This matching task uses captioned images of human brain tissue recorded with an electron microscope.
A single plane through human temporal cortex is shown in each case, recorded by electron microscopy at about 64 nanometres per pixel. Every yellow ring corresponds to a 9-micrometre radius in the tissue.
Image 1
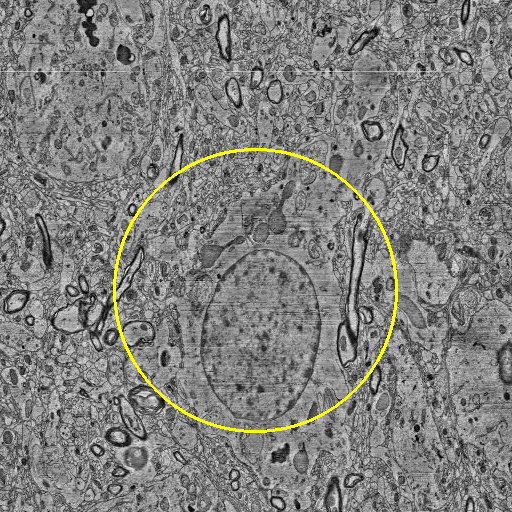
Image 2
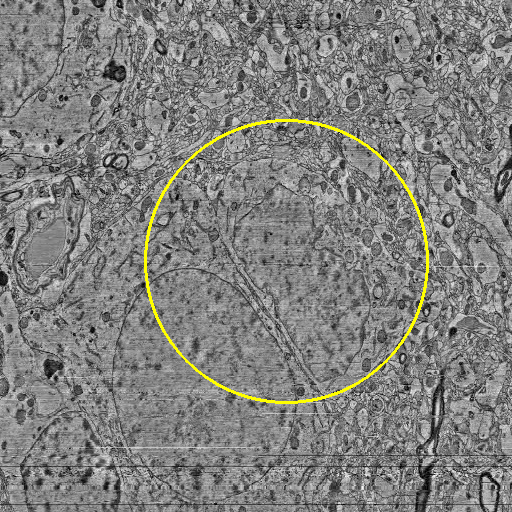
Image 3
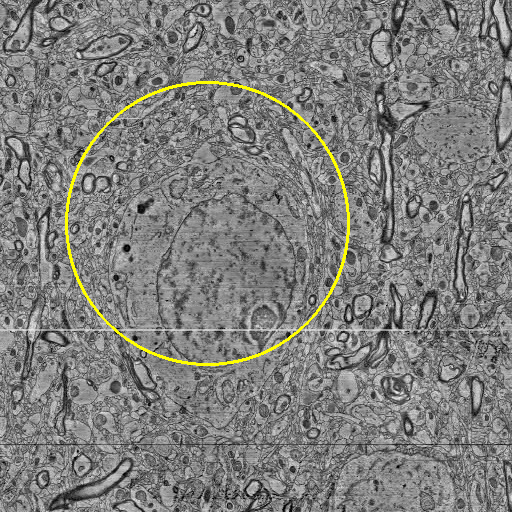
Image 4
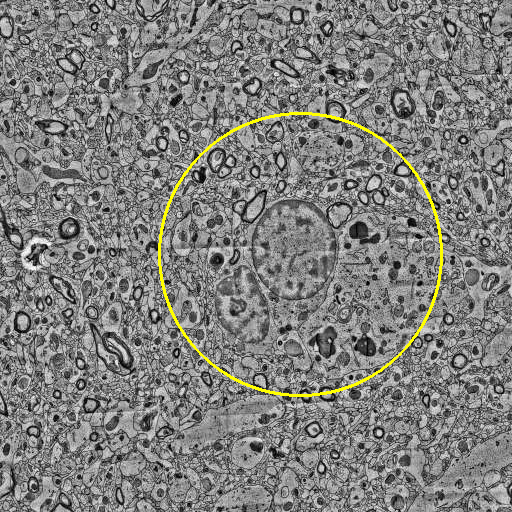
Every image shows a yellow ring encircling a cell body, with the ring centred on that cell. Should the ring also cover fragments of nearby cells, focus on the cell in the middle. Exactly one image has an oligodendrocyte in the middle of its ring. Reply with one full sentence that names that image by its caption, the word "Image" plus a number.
Image 4 shows the cell in question at the centre of its yellow ring.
